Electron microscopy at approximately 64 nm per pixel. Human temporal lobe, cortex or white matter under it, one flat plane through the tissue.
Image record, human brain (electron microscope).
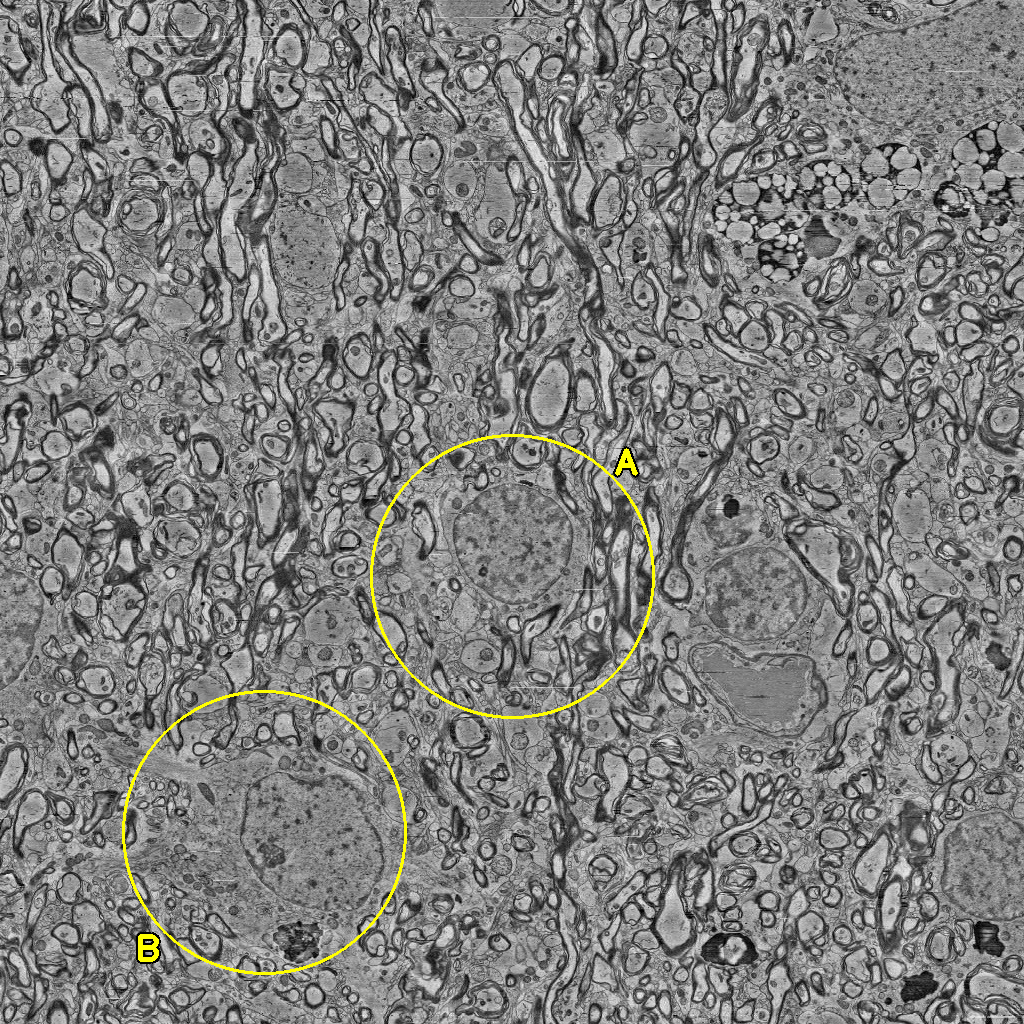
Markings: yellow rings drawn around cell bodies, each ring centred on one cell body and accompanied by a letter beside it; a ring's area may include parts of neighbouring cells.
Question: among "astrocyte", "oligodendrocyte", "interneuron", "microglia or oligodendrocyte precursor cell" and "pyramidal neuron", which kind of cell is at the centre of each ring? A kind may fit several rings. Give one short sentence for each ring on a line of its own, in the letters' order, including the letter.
Ring A is centred on the cell body of an oligodendrocyte.
Ring B is centred on the cell body of an astrocyte.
